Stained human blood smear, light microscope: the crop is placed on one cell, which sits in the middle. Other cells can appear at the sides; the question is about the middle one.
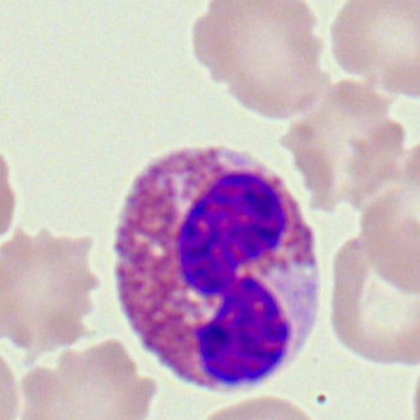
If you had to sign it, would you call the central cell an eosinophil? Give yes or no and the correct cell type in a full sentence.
Yes, the cell positioned at the centre of the crop is an eosinophil.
